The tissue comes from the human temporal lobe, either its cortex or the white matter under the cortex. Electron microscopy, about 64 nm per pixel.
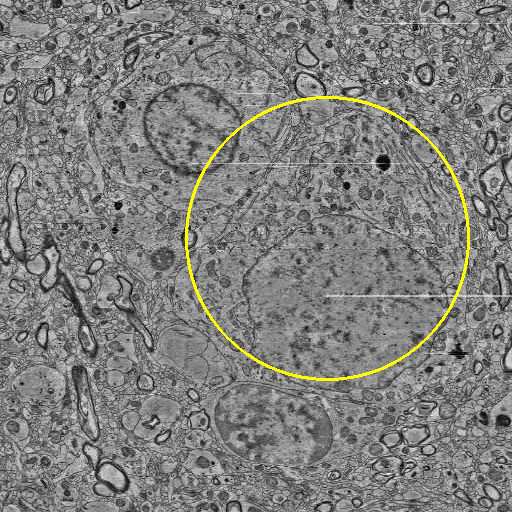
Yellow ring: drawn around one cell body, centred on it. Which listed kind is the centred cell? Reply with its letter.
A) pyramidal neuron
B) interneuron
B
